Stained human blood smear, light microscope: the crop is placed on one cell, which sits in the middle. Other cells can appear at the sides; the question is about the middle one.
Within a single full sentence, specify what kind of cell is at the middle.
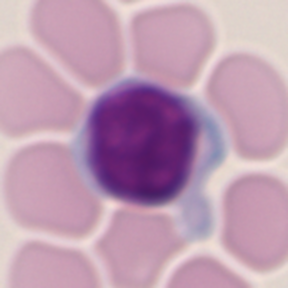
By classification, the middle cell of this crop is a typical lymphocyte.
